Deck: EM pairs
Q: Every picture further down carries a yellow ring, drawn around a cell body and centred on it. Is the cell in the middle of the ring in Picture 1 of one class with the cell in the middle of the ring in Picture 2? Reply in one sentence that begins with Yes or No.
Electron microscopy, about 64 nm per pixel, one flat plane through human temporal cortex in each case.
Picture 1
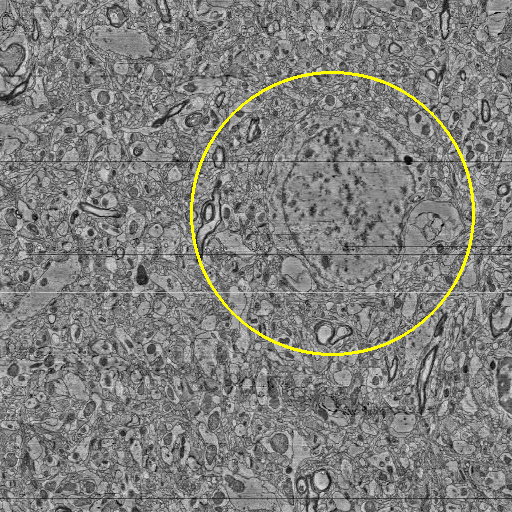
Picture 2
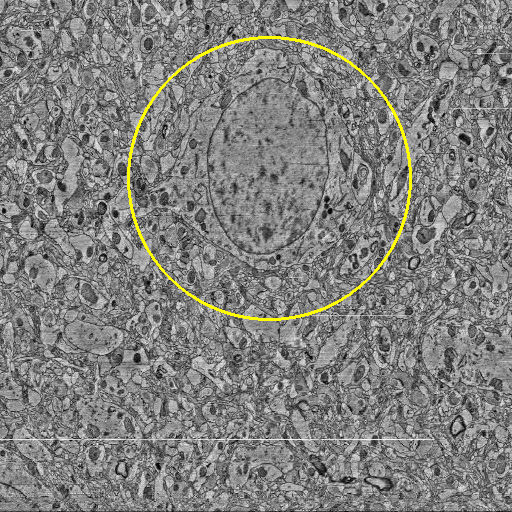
No, the cell centred in the ring of Picture 1 and the one in Picture 2 belong to separate classes.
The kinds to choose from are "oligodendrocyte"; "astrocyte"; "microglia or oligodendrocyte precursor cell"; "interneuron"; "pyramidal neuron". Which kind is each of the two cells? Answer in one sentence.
Of the two, the first cell is an interneuron and the second cell is a pyramidal neuron.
